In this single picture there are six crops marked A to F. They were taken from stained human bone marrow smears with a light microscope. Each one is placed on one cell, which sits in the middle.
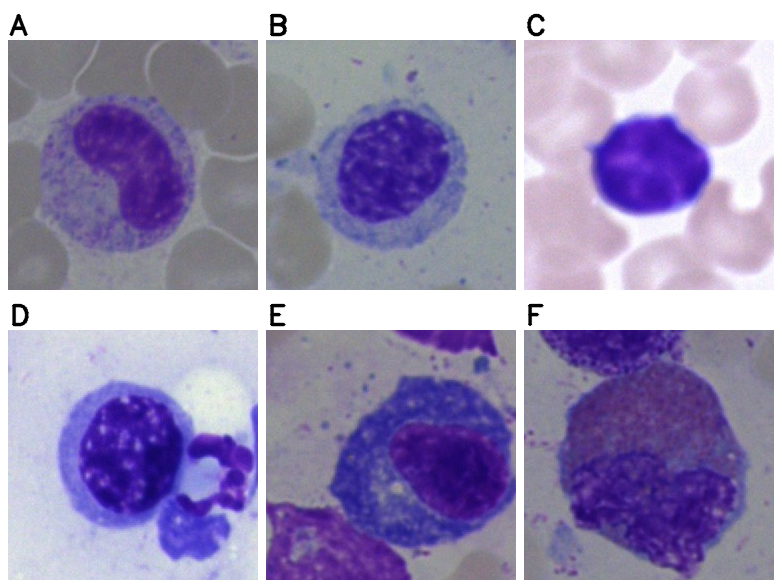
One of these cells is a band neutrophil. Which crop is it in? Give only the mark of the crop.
A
